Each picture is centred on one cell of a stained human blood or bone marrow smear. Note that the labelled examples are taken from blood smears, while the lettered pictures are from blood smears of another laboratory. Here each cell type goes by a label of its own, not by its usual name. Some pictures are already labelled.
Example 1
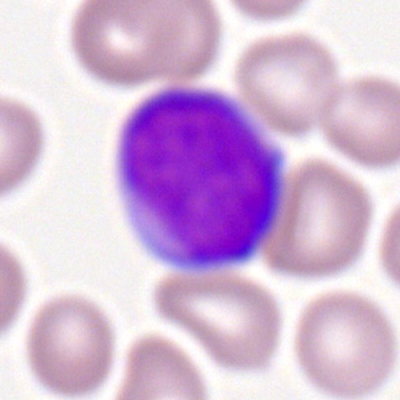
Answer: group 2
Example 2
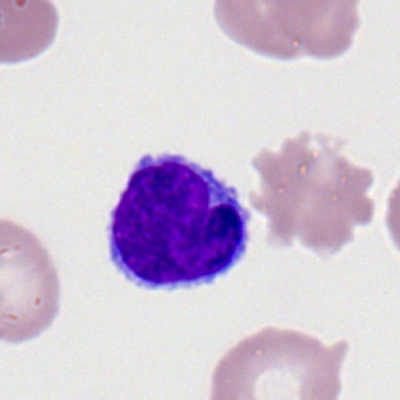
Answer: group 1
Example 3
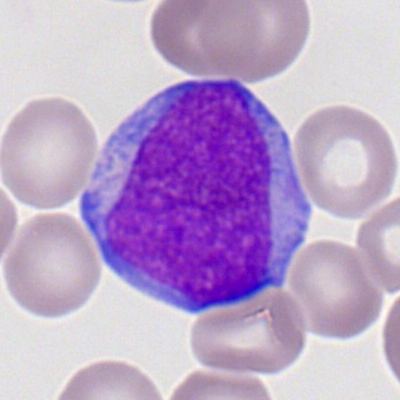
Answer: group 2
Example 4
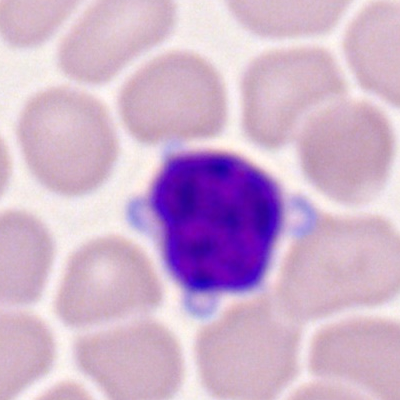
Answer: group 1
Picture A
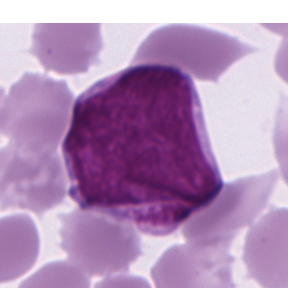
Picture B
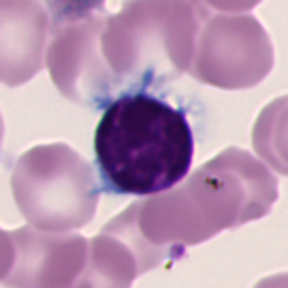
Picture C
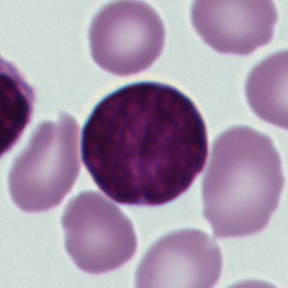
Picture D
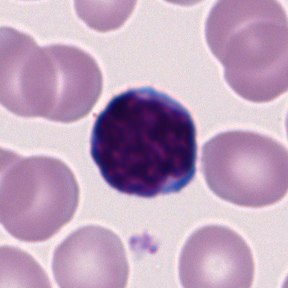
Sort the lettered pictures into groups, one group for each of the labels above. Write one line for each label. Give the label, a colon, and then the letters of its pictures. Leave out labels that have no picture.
group 2: A, C
group 1: B, D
